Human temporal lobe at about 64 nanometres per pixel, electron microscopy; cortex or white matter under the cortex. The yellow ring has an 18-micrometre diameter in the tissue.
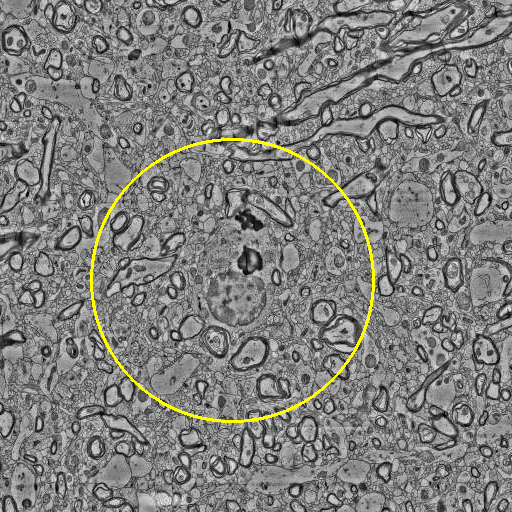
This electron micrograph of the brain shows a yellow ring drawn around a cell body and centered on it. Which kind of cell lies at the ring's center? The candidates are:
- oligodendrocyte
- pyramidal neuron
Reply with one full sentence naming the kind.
The cell lying at the ring's center in this micrograph is an oligodendrocyte.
